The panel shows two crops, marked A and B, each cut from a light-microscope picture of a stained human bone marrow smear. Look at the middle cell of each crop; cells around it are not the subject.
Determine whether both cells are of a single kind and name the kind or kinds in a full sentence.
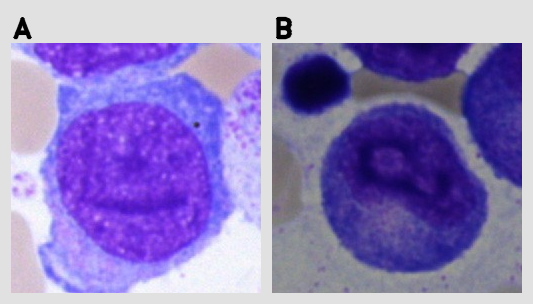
No, crop A corresponds to a blast, while crop B corresponds to a promyelocyte.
